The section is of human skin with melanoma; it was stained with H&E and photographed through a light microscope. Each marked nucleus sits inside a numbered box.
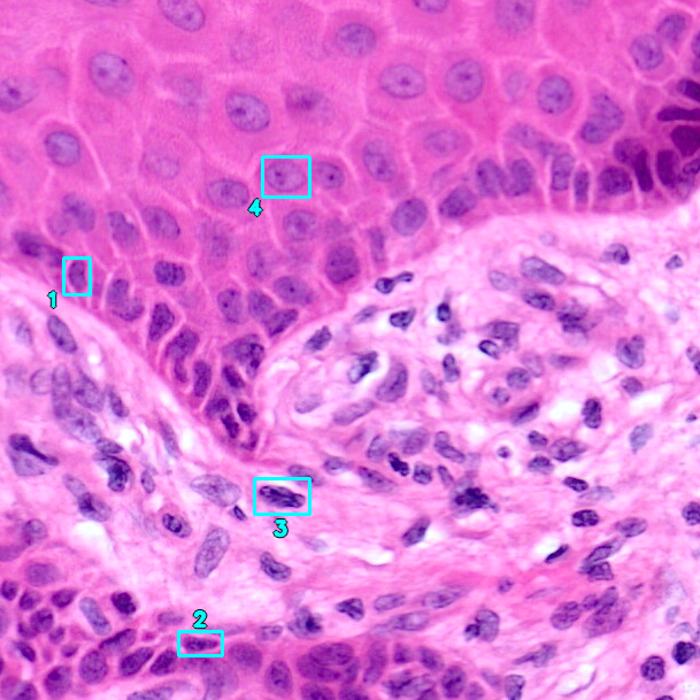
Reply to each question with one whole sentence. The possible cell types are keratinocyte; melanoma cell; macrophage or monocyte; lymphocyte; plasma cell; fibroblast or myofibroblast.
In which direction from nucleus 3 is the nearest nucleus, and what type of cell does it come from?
A fibroblast or myofibroblast lies closest, above and to the right of nucleus 3.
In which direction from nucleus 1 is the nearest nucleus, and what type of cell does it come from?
The closest nucleus belongs to a keratinocyte and sits below and to the right of nucleus 1.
